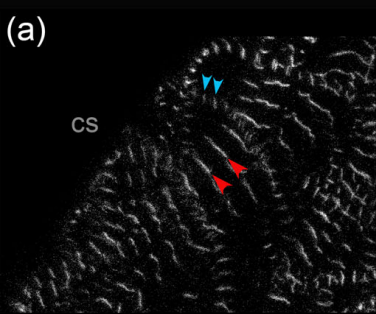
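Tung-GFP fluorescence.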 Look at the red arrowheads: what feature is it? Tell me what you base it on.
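Short bright transverse bands repeat at regular spacing along a line. The red arrowheads point to two neighbouring bands of one such row.
Conclusion: sarcomeres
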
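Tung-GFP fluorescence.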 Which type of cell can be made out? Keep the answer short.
Myocytes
